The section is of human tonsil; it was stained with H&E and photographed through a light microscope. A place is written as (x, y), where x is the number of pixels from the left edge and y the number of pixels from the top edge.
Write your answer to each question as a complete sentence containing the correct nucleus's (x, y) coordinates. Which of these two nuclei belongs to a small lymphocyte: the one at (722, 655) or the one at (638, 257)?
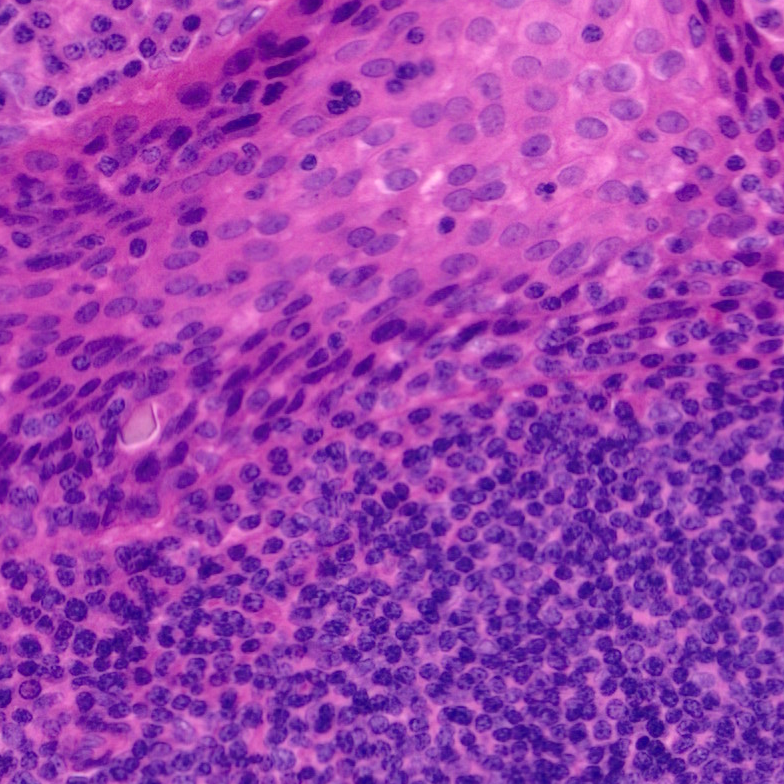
The nucleus that belongs to a small lymphocyte is located at (722, 655).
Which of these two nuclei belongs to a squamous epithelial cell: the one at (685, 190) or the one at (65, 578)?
The nucleus that belongs to a squamous epithelial cell is located at (685, 190).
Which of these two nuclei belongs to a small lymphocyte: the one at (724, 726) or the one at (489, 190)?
It is the nucleus at (724, 726) that forms part of a small lymphocyte.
